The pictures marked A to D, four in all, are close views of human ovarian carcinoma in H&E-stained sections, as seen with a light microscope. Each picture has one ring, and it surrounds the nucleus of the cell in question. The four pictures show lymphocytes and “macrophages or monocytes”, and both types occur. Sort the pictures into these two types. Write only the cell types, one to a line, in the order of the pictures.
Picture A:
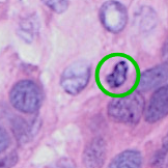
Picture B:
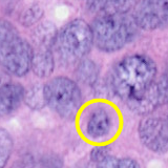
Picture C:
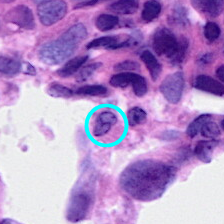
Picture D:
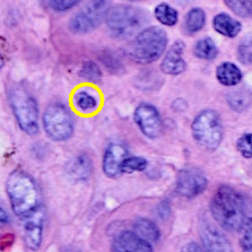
lymphocyte
macrophage or monocyte
macrophage or monocyte
lymphocyte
